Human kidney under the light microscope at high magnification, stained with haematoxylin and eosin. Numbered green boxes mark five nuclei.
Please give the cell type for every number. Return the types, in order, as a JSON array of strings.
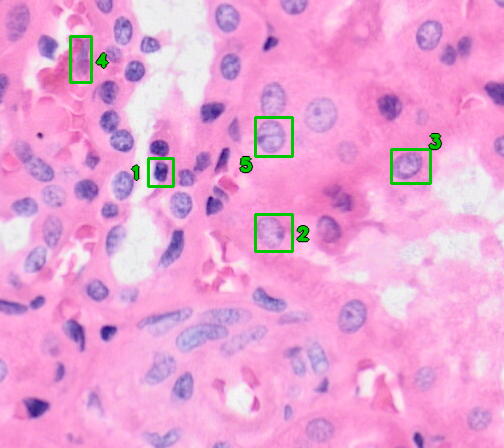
["collecting duct cell", "proximal tubule cell", "proximal tubule cell", "endothelial cell", "proximal tubule cell"]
